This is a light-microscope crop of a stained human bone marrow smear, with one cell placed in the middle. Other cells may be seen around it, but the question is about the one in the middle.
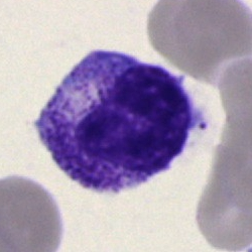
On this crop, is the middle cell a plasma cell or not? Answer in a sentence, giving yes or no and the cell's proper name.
No, the cell centered in the crop is a myelocyte, not a plasma cell.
